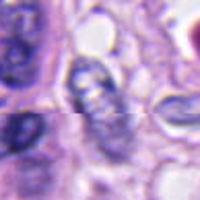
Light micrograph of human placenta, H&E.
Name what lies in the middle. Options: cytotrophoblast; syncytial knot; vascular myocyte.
cytotrophoblast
